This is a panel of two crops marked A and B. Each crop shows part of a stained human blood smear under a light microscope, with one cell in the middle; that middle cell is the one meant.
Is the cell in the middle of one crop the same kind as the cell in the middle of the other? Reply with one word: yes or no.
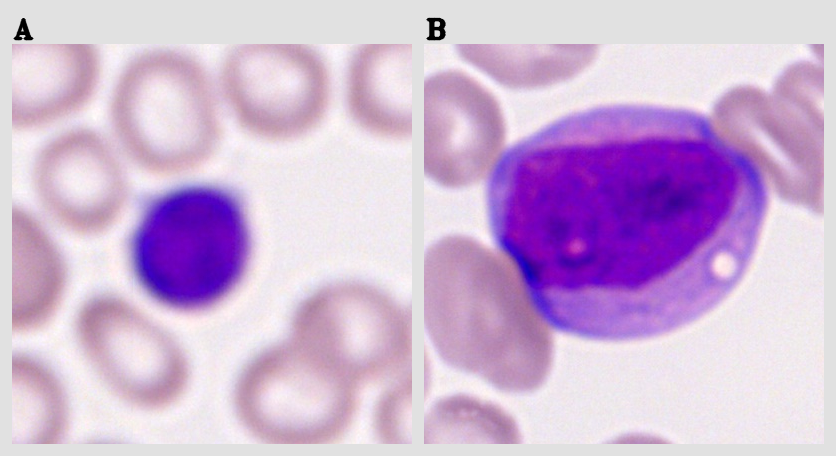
no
